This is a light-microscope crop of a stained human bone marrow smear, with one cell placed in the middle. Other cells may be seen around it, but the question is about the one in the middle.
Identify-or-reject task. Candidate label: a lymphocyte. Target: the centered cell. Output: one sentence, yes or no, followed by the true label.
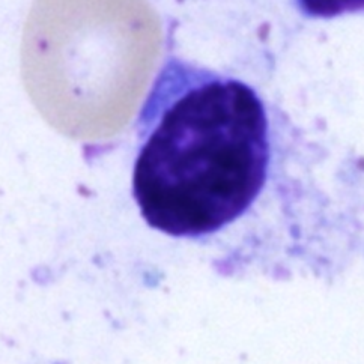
Yes, the cell at the center of the crop is a lymphocyte.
